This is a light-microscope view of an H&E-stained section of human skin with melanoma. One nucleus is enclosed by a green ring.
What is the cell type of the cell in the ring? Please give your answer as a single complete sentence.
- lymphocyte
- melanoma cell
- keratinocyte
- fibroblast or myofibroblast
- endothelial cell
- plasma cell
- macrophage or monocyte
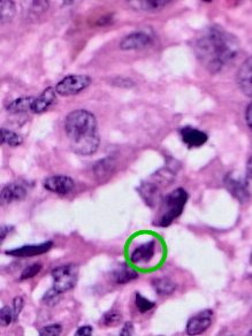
In the tissue under study, the cell in the ring is a melanoma cell.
